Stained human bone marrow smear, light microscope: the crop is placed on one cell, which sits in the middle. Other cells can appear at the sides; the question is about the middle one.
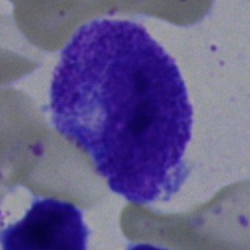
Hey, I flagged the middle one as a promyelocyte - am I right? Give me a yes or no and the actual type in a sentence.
Yes, the identification of the central cell as a promyelocyte is correct.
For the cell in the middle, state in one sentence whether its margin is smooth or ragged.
An uneven margin is present, with either ragged stretches or outward projections.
